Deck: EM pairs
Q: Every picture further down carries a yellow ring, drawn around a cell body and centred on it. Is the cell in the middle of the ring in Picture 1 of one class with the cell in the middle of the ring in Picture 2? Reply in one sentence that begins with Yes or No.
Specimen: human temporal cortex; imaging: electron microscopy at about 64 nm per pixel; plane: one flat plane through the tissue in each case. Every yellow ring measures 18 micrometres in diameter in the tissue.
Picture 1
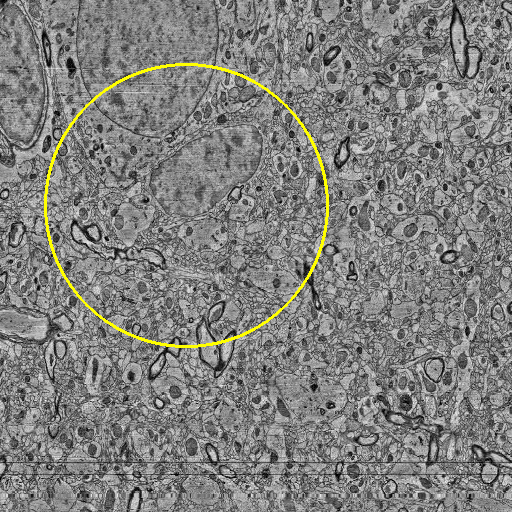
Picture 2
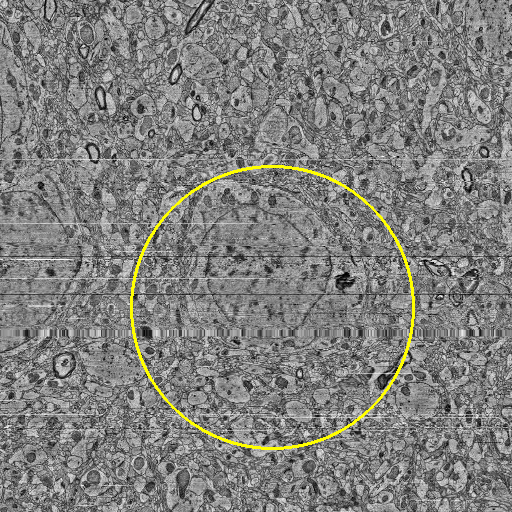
No, the cell centred in the ring of Picture 1 and the one in Picture 2 belong to separate classes.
